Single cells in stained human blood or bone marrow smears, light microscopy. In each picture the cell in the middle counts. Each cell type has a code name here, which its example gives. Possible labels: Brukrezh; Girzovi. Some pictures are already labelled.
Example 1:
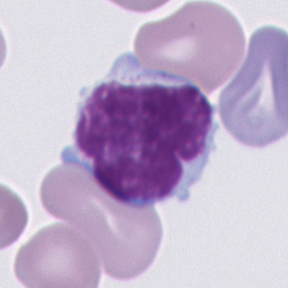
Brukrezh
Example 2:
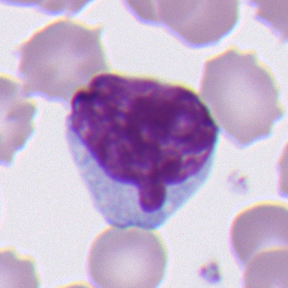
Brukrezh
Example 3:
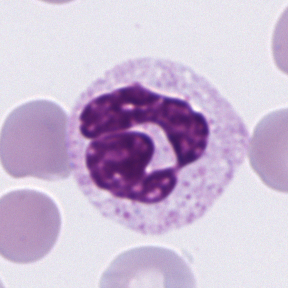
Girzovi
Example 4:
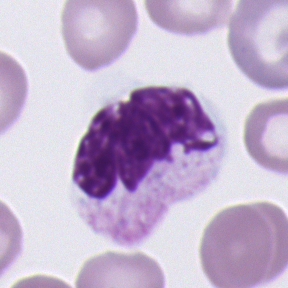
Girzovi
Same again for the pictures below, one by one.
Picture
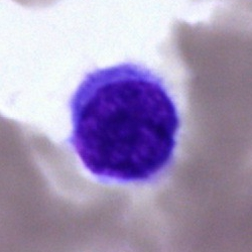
Brukrezh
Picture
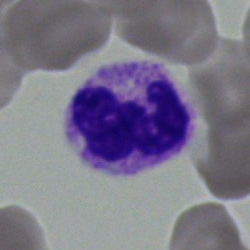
Girzovi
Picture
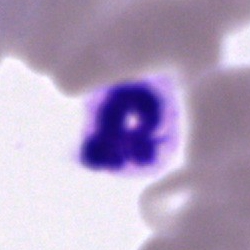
Girzovi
